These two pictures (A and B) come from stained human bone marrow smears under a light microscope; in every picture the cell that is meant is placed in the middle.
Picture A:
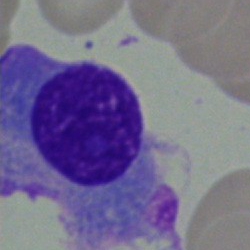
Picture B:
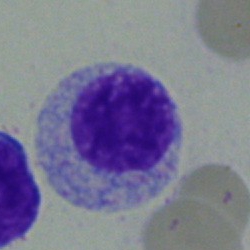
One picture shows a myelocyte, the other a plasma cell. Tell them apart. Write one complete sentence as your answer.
The cell in picture A is a plasma cell, and the one in picture B is a myelocyte.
